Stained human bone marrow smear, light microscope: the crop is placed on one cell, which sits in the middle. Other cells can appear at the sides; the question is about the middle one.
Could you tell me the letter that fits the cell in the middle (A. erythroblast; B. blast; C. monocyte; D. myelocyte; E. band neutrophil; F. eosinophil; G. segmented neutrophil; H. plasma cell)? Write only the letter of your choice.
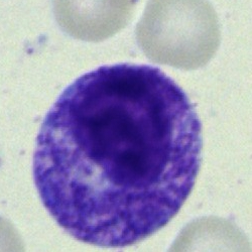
D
